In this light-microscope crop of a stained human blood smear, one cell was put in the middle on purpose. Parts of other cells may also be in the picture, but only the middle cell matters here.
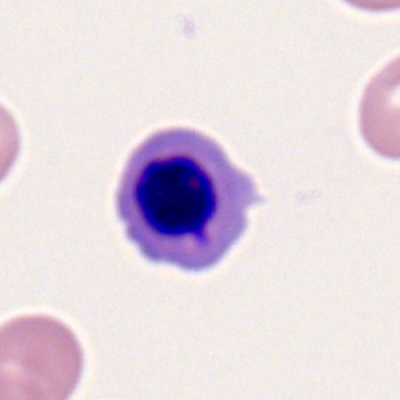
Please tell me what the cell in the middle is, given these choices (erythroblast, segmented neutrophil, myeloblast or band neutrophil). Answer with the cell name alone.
erythroblast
